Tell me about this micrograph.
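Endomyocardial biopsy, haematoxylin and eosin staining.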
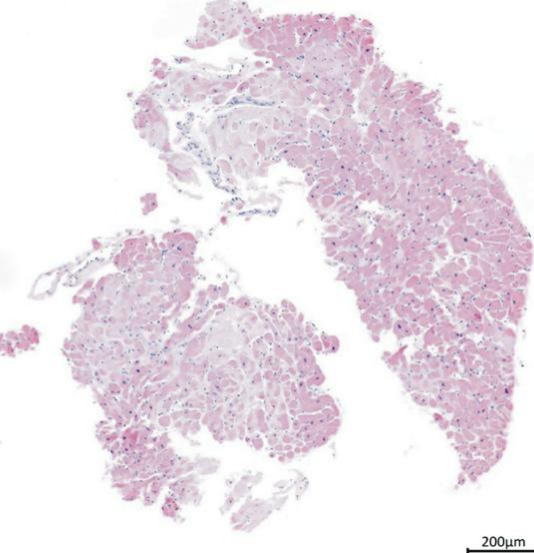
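These are fragments of heart muscle, with cardiomyocytes cut mostly across so that they appear as pink polygonal profiles. Small dark blue nuclei are scattered among the fibres. In places, especially in the smaller fragment at the lower left, the fibres are separated by pale pink, glassy material that has no cellular structure of its own. This material makes those areas look washed out and less orderly than the densely packed muscle in the larger fragment.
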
